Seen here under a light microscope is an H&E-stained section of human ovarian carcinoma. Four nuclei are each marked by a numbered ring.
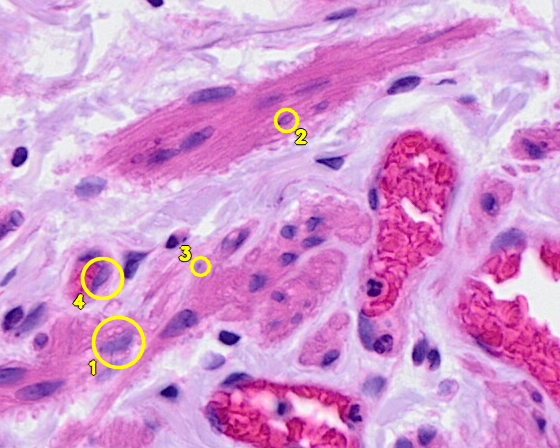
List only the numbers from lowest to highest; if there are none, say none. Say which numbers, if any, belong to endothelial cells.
4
